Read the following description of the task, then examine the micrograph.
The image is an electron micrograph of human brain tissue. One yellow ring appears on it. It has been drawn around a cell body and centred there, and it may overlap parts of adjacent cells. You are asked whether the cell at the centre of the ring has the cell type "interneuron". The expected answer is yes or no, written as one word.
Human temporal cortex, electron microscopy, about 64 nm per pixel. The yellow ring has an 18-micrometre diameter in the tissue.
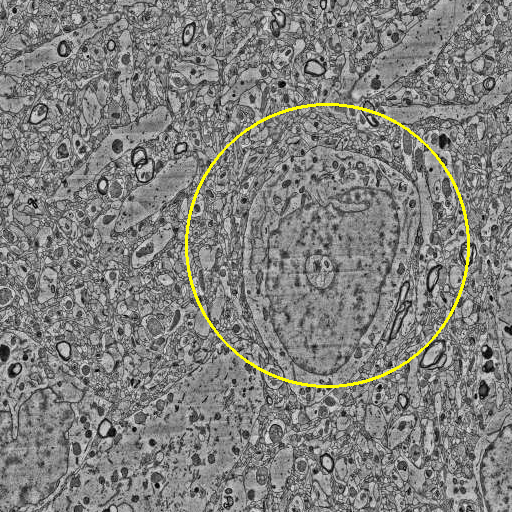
yes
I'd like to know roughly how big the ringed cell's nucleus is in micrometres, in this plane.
About 11 micrometres by about 8 micrometres in this plane.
